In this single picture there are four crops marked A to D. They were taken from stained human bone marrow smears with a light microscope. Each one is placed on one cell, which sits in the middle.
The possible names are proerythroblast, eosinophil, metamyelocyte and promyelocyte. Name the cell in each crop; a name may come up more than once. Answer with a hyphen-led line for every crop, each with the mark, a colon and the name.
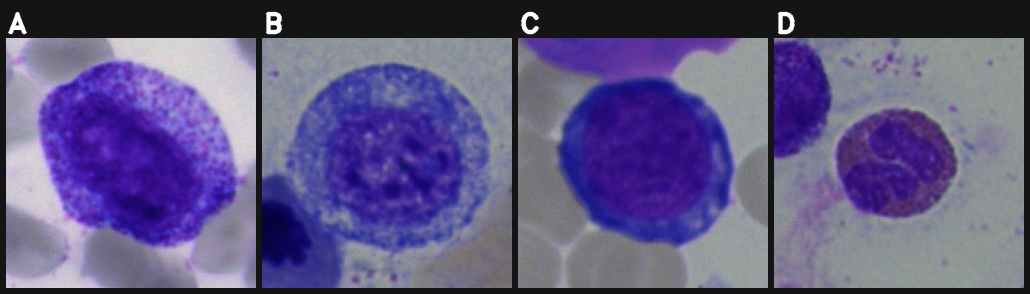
- A: promyelocyte
- B: promyelocyte
- C: proerythroblast
- D: eosinophil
